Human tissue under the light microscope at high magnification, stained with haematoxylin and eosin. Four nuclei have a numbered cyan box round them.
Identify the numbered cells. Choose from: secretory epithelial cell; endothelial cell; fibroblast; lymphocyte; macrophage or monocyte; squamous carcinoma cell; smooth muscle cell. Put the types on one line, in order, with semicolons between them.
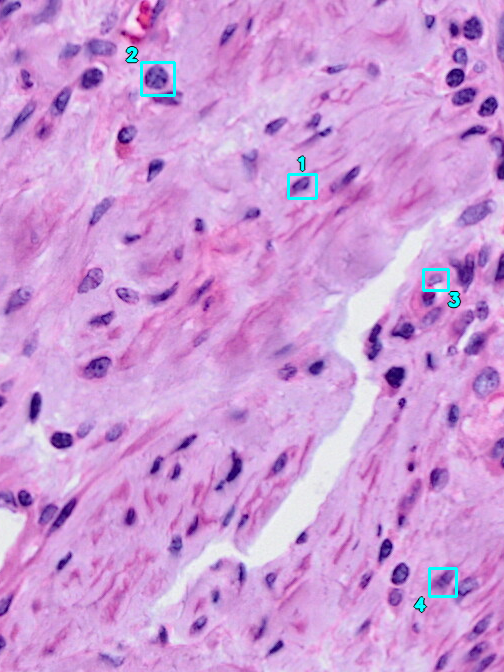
smooth muscle cell; lymphocyte; endothelial cell; smooth muscle cell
